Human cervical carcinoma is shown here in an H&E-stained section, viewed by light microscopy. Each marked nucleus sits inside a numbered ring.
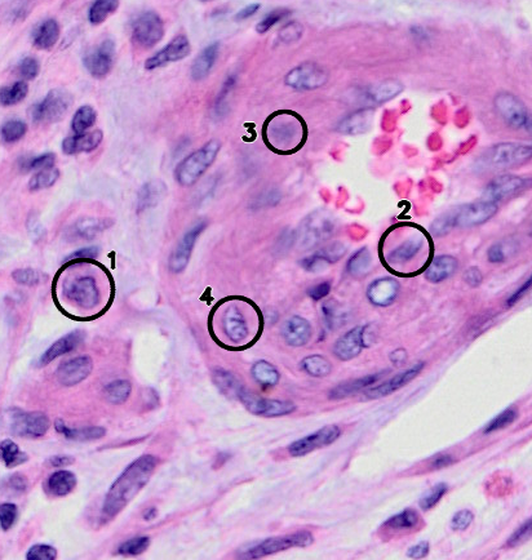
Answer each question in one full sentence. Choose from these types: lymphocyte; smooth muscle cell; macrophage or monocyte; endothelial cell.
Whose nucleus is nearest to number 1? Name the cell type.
The nucleus nearest to number 1 is that of a lymphocyte.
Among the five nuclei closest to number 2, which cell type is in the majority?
Smooth muscle cells make up most of the five nuclei closest to number 2.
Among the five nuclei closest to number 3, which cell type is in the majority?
Smooth muscle cells make up most of the five nuclei closest to number 3.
